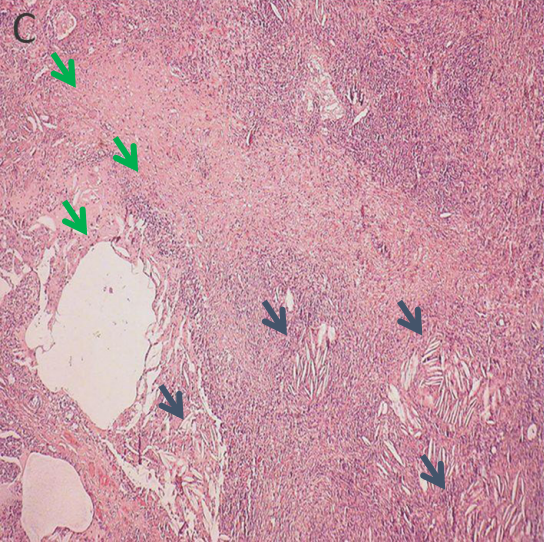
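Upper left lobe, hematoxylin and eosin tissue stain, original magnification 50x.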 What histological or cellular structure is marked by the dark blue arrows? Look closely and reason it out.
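Cholesterol clefts. The arrows point at clusters of narrow, needle-shaped empty slits. The slits lie within cellular fibrous tissue.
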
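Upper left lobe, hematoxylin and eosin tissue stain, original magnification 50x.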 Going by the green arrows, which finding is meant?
Fibrosis and cystic rearrangement.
